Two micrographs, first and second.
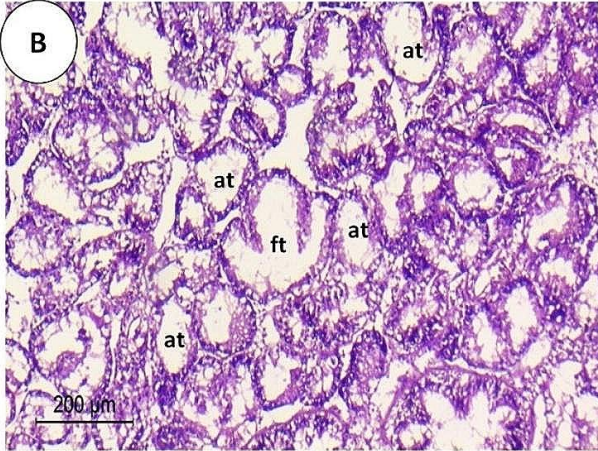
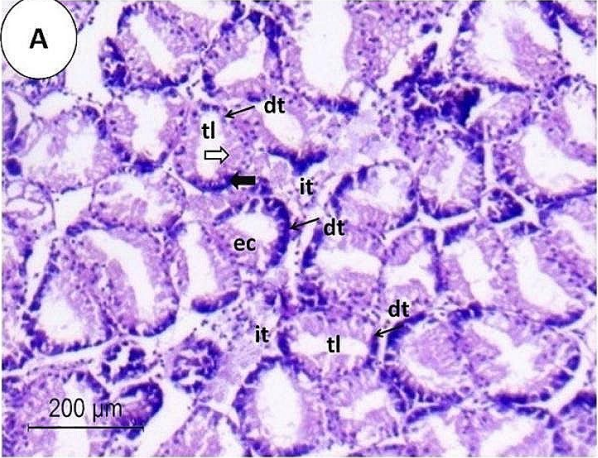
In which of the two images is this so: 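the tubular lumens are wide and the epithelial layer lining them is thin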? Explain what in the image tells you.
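The first image. First image: many tubules have broad empty lumens bordered by a thin epithelial rim.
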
